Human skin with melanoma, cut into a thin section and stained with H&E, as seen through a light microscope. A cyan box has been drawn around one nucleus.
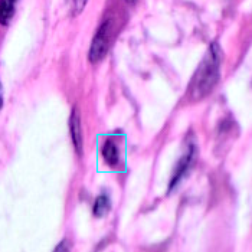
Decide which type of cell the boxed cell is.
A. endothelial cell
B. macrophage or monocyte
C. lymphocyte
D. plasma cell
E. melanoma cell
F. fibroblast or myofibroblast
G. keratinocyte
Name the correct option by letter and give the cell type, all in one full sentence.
Option D is accurate, for the boxed cell is a plasma cell.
